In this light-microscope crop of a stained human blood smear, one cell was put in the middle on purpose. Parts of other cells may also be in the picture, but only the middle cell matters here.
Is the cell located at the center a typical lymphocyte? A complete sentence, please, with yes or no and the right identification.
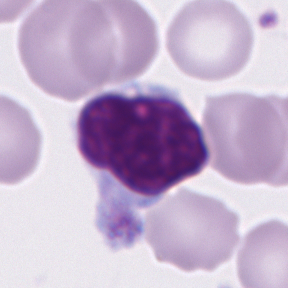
Yes, in the middle of the crop is a typical lymphocyte.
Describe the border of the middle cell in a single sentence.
Irregularity marks the cell border, whether as raggedness or as projections.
